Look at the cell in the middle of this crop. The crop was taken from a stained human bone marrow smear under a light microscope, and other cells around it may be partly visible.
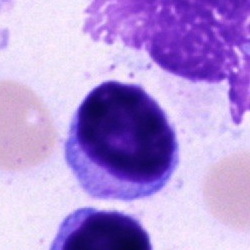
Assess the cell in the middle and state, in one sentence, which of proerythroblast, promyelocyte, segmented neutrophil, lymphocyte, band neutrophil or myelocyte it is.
In the middle of this smear crop, the cell is a lymphocyte.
